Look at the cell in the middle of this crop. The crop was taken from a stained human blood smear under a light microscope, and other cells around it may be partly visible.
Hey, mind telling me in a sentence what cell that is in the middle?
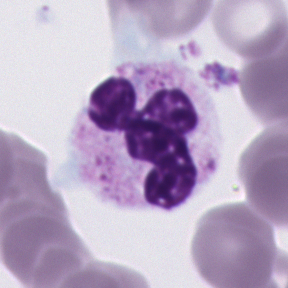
This crop is built around a segmented neutrophil at its centre.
